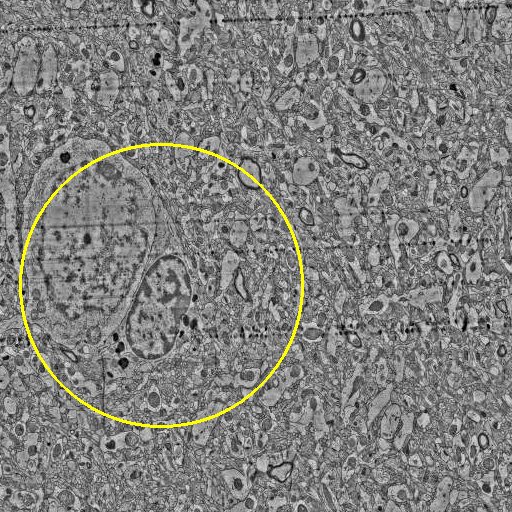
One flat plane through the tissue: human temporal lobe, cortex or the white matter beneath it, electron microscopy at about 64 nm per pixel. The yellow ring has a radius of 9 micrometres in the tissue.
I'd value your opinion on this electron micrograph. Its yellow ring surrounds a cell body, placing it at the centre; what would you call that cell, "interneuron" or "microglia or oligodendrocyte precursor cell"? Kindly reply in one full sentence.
It is a microglial cell or oligodendrocyte precursor cell that sits centred within the yellow ring in this micrograph.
